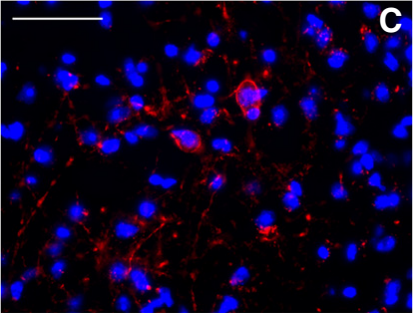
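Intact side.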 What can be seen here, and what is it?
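A few larger, rounded somata show a red rim around a central blue nucleus, with dotted red along their surface. Thin red fibres wind through the field in many directions, forming a loose meshwork between the cells. Scattered among them are many smaller blue nuclei with no red around them, belonging to other cells of the tissue.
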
